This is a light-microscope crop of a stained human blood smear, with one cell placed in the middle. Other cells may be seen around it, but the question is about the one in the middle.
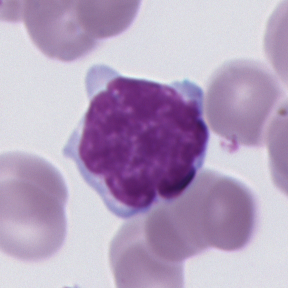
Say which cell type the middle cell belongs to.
large granular lymphocyte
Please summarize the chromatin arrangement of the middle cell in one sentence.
The chromatin pattern here is coarse and clumped.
